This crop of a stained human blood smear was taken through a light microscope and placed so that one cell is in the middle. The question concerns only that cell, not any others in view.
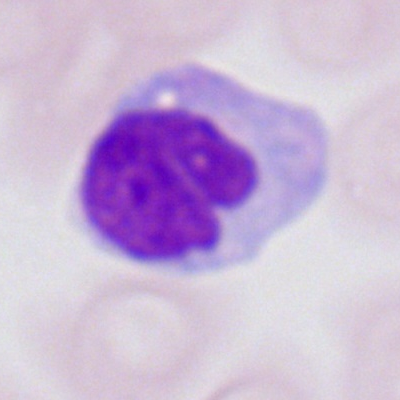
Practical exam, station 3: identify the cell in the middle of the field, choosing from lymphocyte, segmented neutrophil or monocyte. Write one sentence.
The cell under consideration, at the middle of the crop, is a monocyte.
